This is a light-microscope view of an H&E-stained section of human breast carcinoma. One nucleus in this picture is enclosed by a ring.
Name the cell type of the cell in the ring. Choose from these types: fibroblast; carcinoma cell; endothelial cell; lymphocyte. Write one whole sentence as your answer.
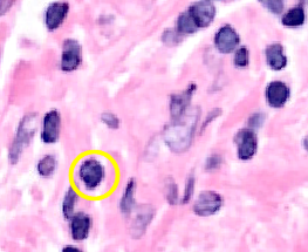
For the purposes of cell typing, the cell in the ring is categorized as a lymphocyte.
